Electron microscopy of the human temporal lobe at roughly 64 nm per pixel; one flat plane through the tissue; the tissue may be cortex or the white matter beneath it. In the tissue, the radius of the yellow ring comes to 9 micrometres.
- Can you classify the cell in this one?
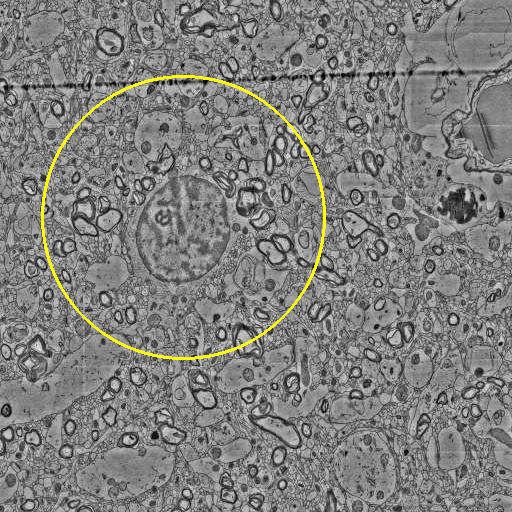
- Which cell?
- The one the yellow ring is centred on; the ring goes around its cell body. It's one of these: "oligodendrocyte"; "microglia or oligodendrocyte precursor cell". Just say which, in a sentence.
The cell body in the ring belongs to an oligodendrocyte.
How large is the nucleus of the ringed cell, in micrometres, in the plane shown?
About 7 by 6 micrometers for the nucleus, in this plane.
